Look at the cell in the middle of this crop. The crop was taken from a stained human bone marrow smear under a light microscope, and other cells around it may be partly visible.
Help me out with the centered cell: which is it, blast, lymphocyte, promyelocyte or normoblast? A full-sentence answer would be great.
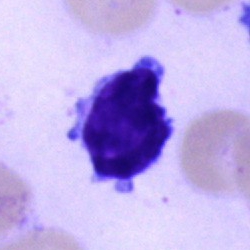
This crop is built around a lymphocyte at its centre.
